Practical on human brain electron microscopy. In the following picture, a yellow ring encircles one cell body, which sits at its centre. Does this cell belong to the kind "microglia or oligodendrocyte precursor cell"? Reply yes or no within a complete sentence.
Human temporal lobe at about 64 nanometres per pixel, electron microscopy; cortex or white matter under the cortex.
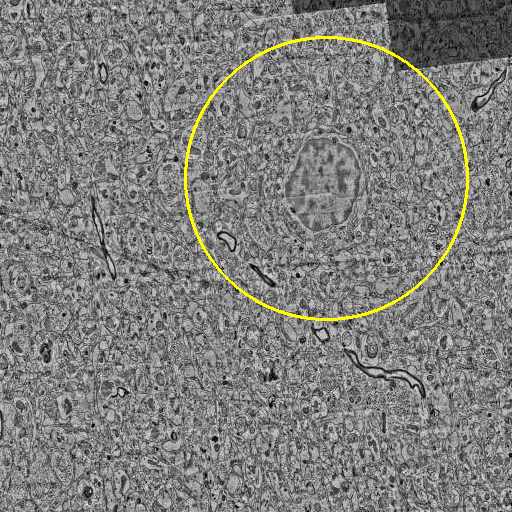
Yes, the one cell at the centre of the ring here is of that kind.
